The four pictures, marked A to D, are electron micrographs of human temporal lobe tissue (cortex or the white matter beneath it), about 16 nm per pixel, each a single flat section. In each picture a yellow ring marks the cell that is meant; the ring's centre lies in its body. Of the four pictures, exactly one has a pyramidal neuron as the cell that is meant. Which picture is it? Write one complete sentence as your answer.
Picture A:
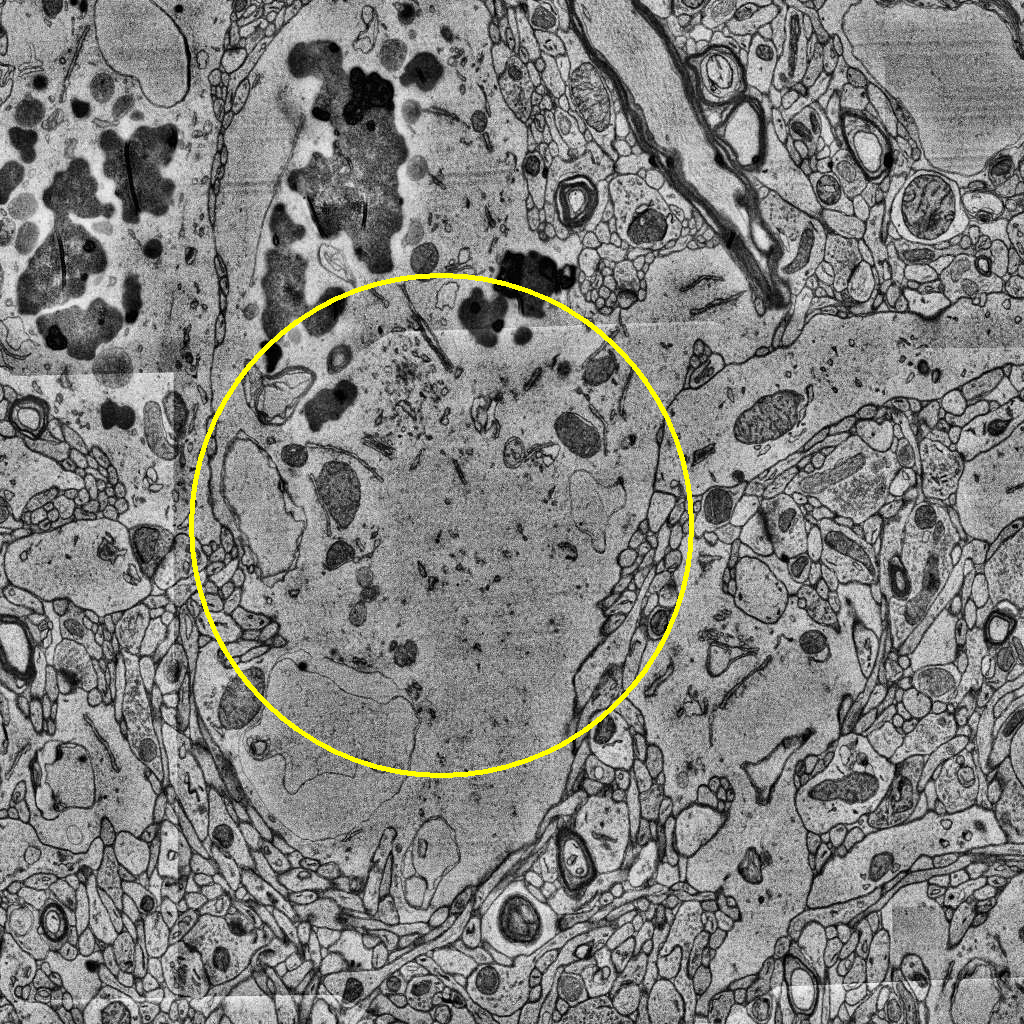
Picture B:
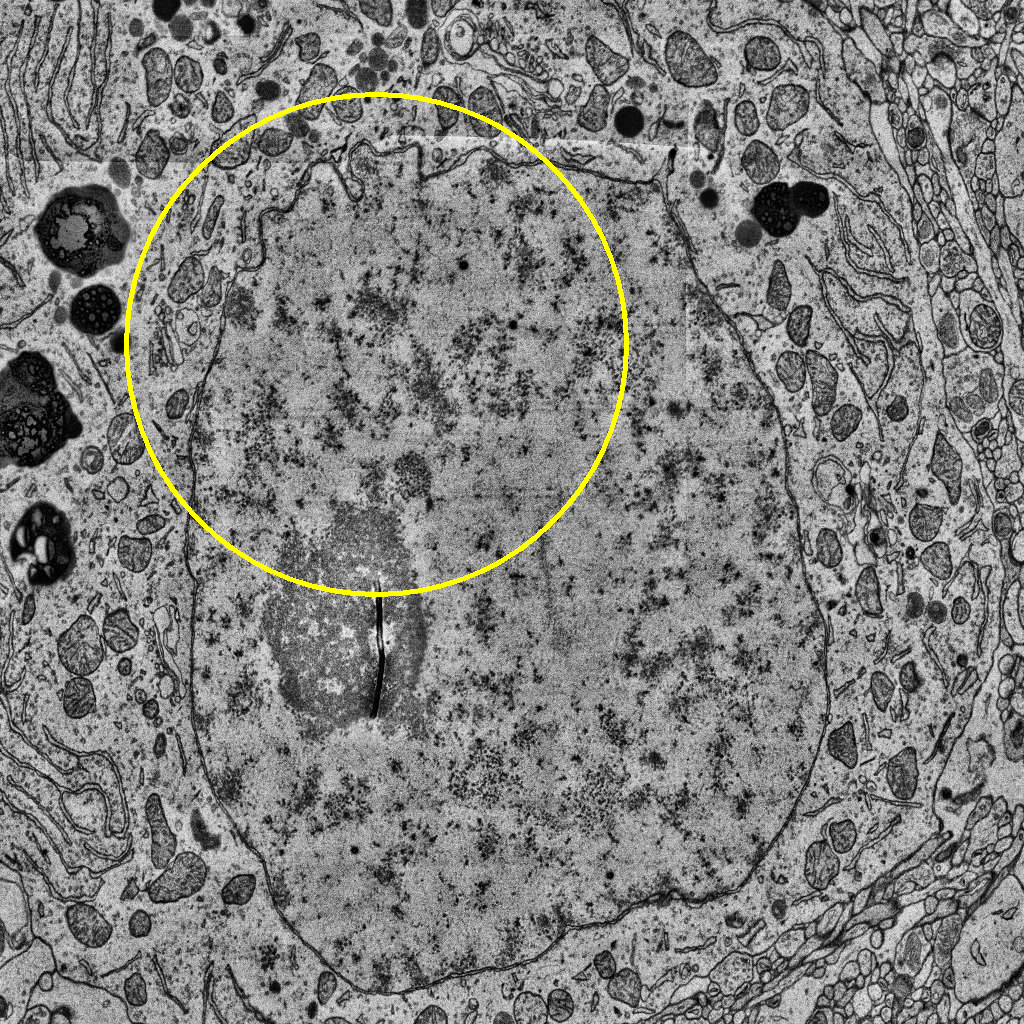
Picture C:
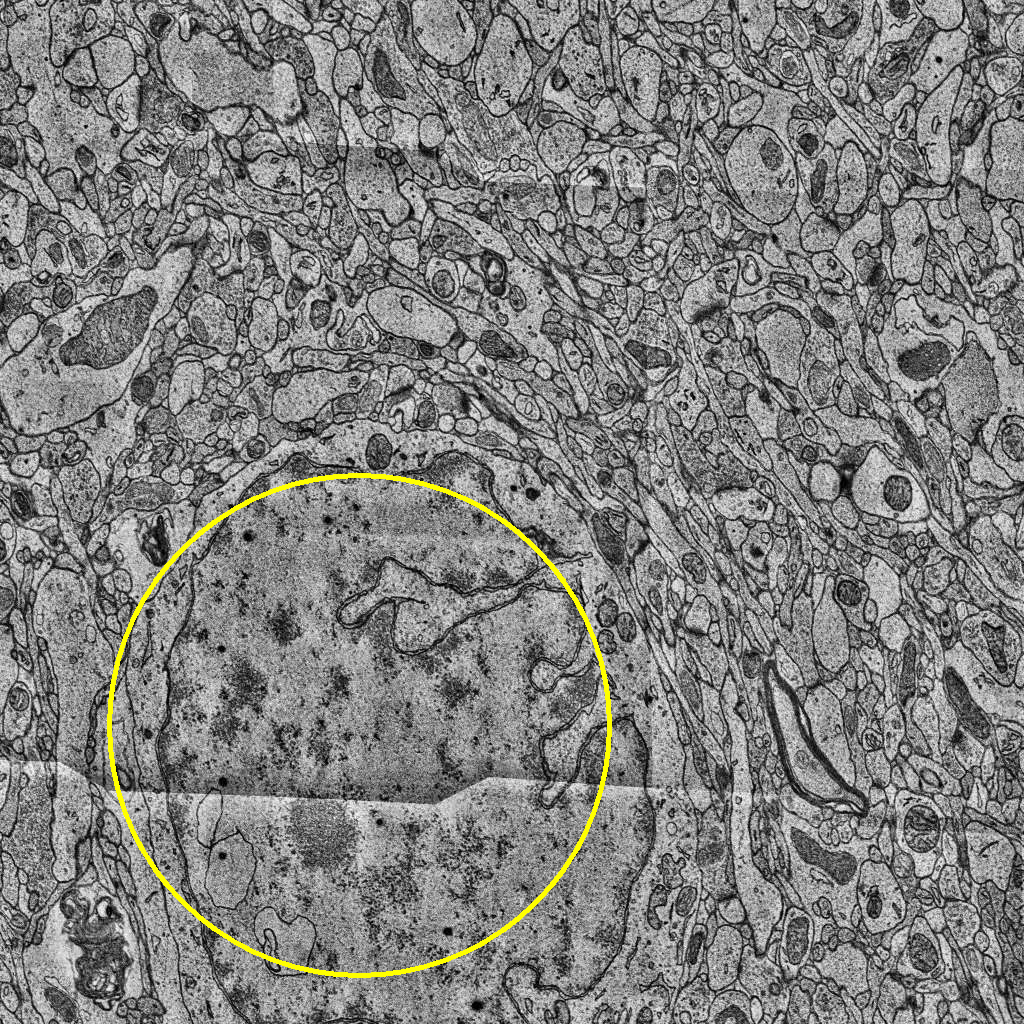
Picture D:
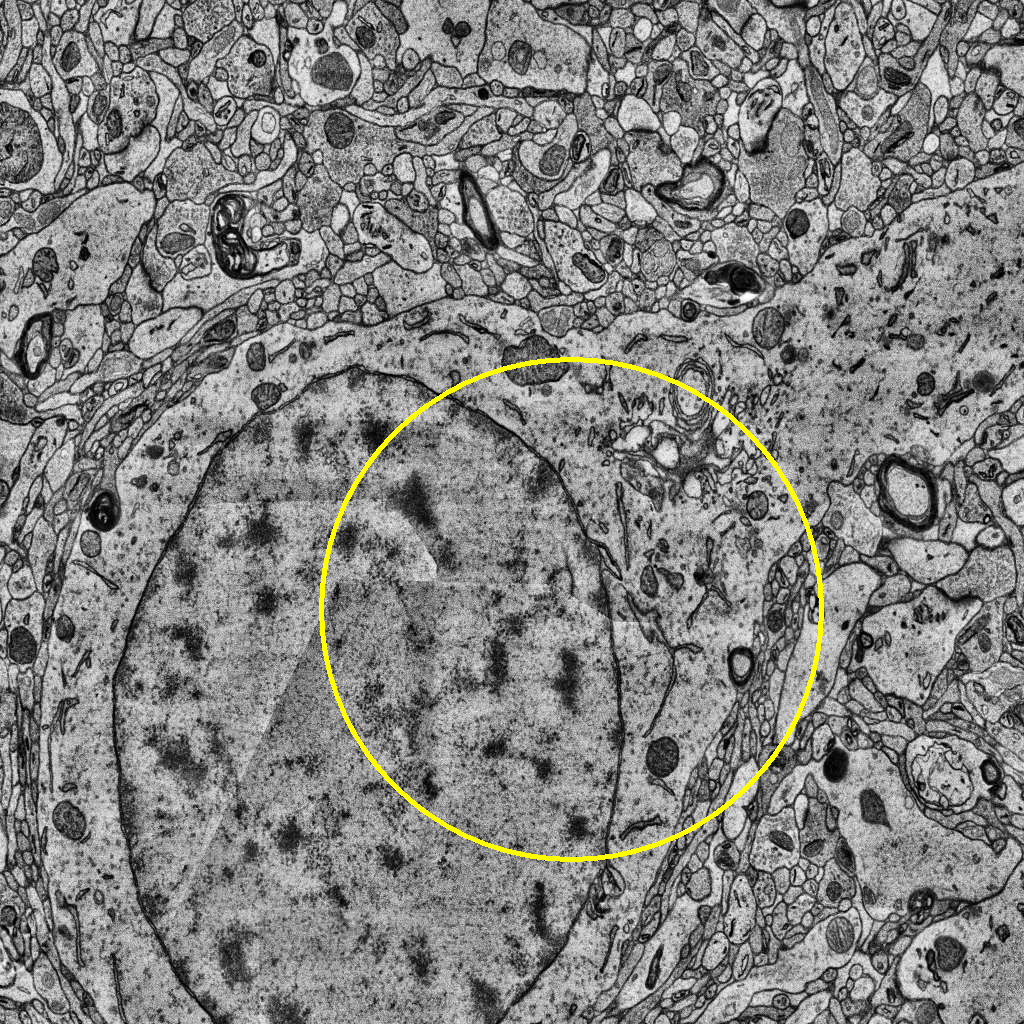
Picture D is the one that shows the pyramidal neuron.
